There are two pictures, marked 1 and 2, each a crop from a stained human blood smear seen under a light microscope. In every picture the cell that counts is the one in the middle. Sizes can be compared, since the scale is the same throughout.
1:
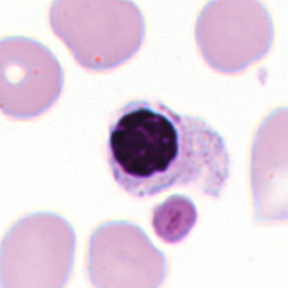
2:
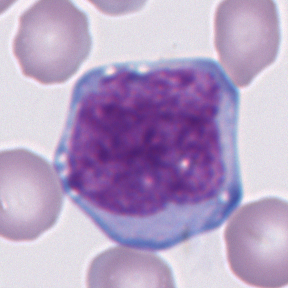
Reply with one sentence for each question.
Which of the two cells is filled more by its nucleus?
The nucleus fills more of the cell in crop 2 than in crop 1.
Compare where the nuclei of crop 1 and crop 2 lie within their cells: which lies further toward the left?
The nucleus in crop 1 lies further toward the left of its cell.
